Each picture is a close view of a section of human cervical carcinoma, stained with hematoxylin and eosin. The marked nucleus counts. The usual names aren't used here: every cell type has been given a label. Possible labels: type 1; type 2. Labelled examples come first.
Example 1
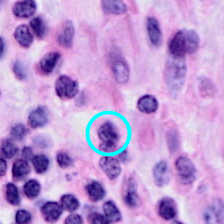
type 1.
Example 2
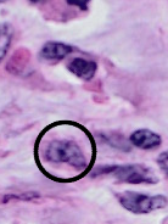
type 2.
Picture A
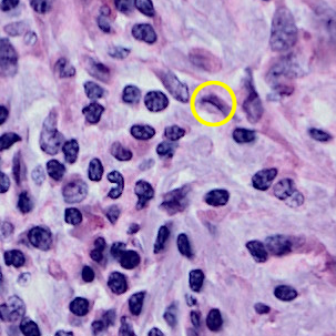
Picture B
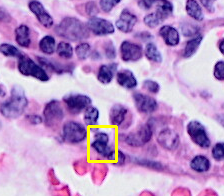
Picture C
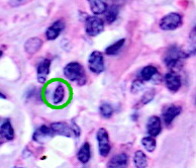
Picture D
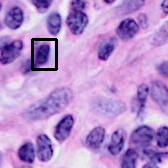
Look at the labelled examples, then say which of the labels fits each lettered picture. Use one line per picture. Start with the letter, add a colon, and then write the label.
A: type 2.
B: type 1.
C: type 1.
D: type 1.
